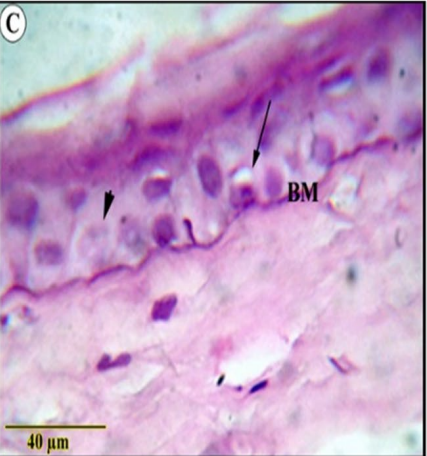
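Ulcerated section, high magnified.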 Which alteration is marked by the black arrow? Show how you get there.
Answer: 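The nucleus at the arrow is small, shrunken and darkly stained. It sits among basal cells just above the dark membrane line.
Answer: pyknotic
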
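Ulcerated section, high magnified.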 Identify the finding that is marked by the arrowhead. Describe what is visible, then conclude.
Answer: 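The basal cell at the arrowhead has a pale, faded nucleus with little chromatin.
Answer: karyolytic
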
